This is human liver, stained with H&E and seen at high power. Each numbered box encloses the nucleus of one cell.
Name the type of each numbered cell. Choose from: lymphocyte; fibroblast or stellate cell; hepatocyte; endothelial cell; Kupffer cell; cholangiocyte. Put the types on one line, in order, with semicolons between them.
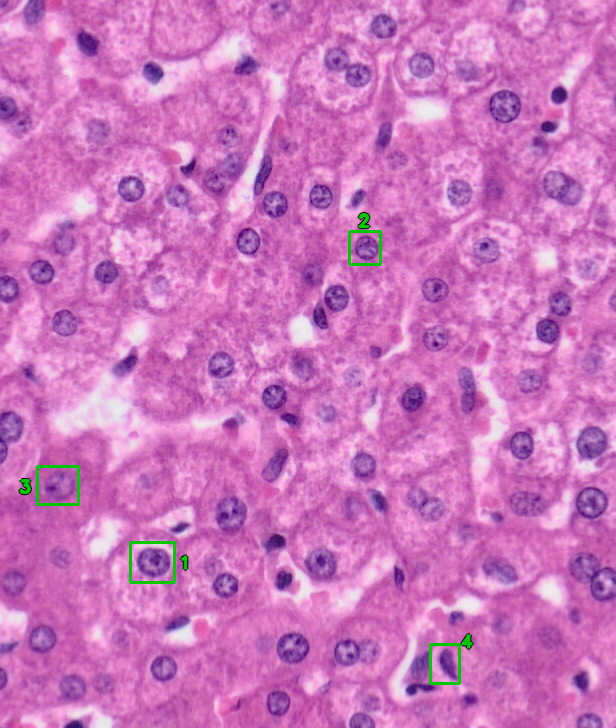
hepatocyte; hepatocyte; hepatocyte; fibroblast or stellate cell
